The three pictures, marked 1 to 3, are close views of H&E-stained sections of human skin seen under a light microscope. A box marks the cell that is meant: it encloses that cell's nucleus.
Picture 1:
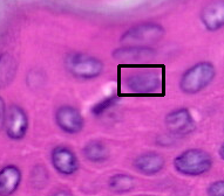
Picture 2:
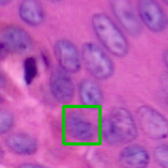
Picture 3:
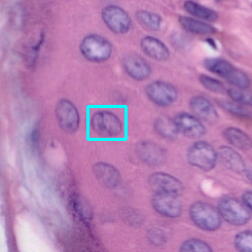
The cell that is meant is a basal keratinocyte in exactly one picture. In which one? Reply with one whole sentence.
The picture with the basal keratinocyte is 2.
